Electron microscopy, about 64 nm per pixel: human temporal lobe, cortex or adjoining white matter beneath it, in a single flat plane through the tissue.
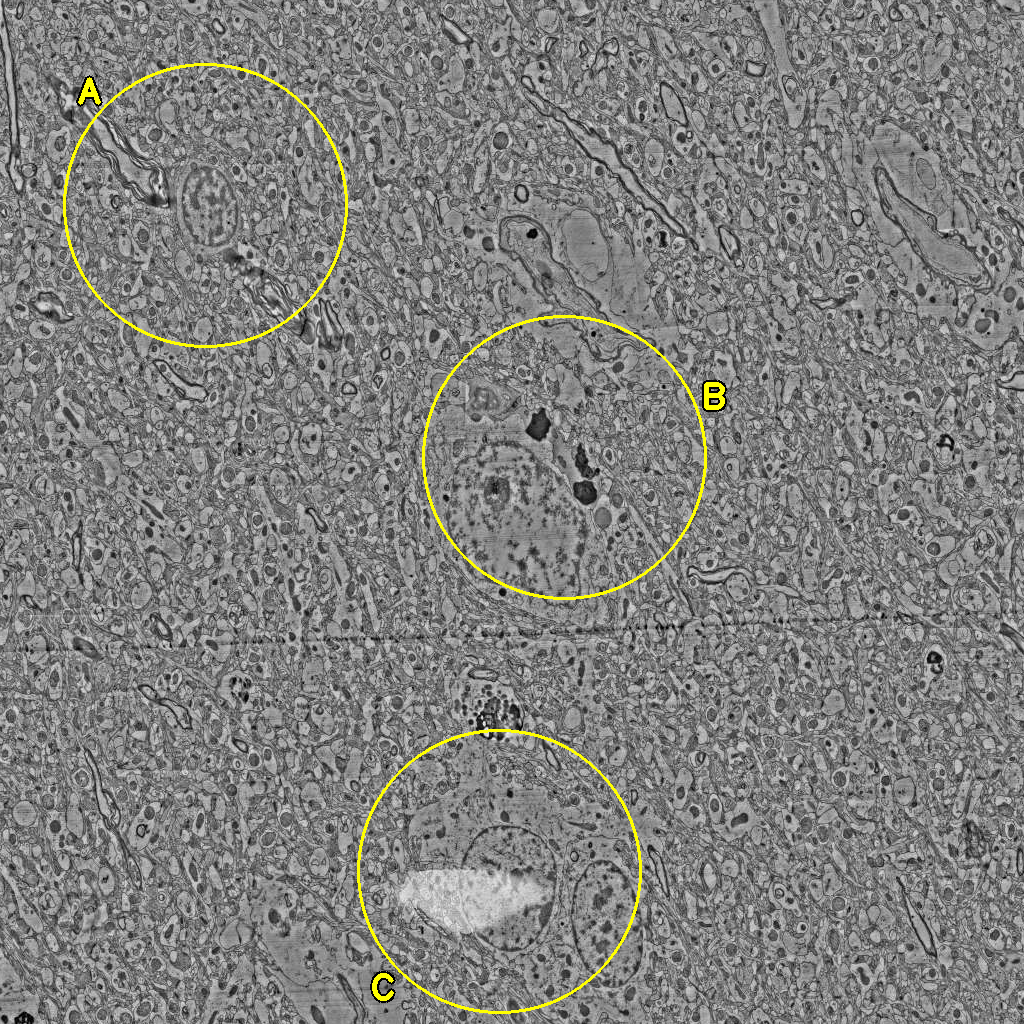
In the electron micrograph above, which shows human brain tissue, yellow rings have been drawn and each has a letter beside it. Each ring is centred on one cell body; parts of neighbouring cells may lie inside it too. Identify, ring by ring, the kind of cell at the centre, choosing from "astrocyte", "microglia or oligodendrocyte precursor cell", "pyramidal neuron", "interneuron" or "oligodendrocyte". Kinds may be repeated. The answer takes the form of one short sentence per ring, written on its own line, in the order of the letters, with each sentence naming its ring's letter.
Inside ring A, at its centre, is an oligodendrocyte.
Inside ring B, at its centre, is an oligodendrocyte.
Inside ring C, at its centre, is an astrocyte.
